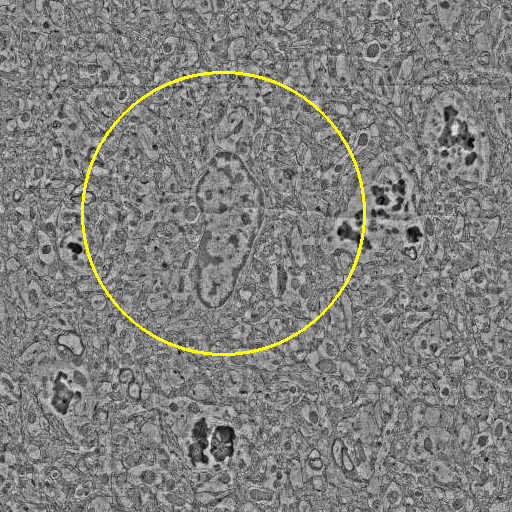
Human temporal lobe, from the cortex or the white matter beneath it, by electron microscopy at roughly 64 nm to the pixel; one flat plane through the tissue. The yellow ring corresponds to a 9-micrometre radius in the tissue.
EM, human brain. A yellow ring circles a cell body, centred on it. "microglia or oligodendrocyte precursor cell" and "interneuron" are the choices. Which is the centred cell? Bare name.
microglia or oligodendrocyte precursor cell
